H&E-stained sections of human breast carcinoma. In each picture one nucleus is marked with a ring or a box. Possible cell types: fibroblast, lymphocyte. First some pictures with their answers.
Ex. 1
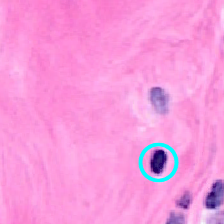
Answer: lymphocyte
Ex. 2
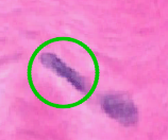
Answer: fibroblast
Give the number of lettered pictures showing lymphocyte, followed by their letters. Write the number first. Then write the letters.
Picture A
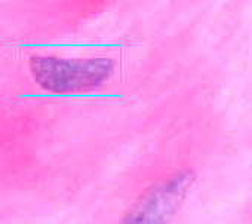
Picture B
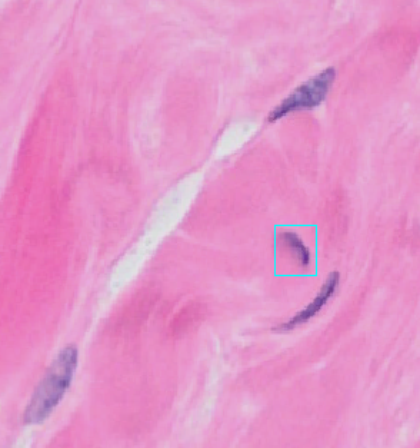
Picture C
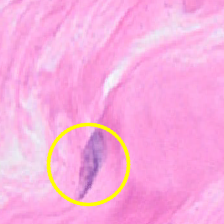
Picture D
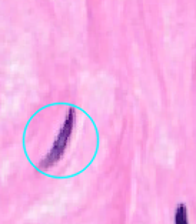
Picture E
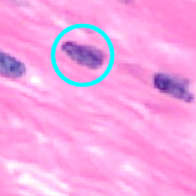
1, namely E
